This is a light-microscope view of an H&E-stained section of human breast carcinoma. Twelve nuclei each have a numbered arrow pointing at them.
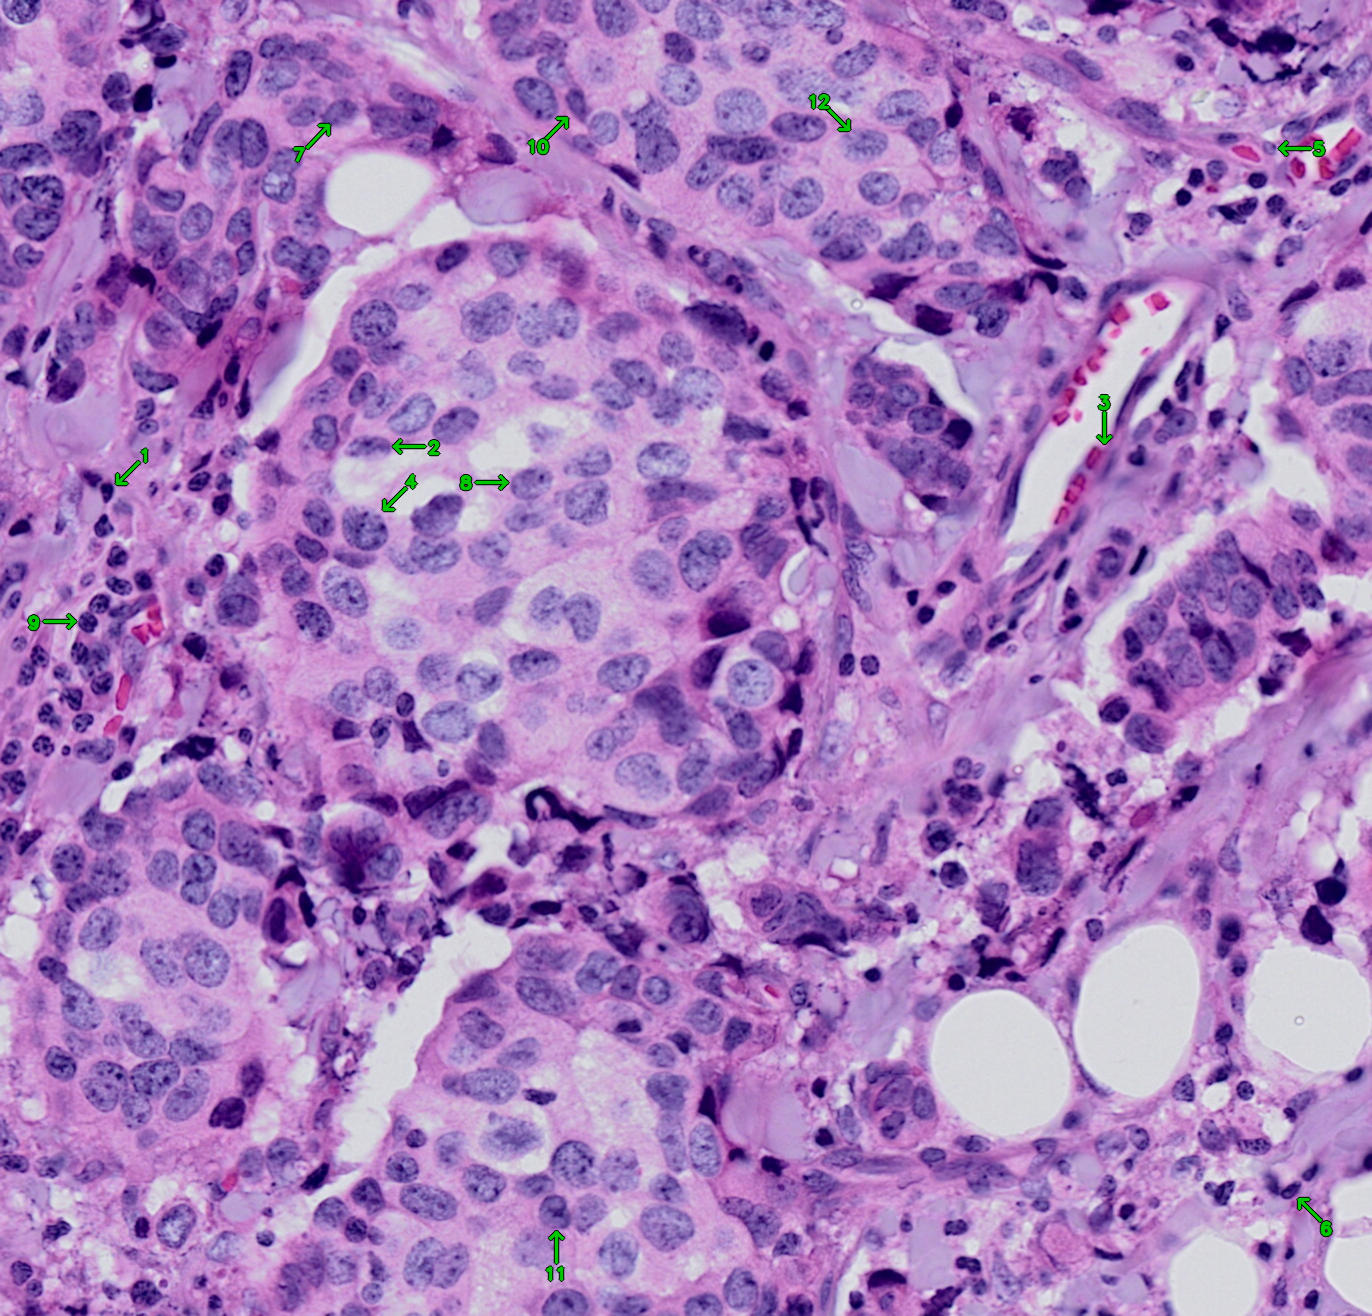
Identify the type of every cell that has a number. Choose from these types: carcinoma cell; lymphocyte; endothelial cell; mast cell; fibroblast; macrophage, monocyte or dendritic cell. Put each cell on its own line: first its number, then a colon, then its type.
1: lymphocyte
2: carcinoma cell
3: endothelial cell
4: carcinoma cell
5: endothelial cell
6: lymphocyte
7: carcinoma cell
8: carcinoma cell
9: lymphocyte
10: carcinoma cell
11: carcinoma cell
12: carcinoma cell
